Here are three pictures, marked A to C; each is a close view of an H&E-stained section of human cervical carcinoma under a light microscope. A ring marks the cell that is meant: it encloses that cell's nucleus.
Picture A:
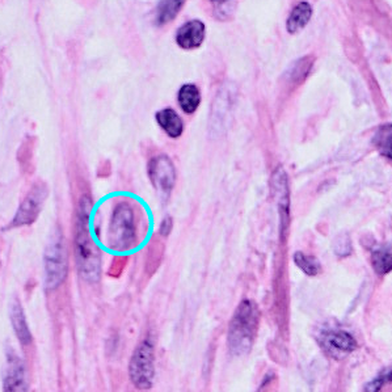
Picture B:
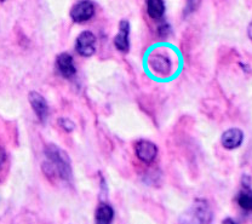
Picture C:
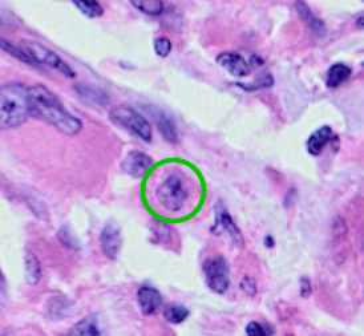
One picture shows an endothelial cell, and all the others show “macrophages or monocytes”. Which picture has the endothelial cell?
A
